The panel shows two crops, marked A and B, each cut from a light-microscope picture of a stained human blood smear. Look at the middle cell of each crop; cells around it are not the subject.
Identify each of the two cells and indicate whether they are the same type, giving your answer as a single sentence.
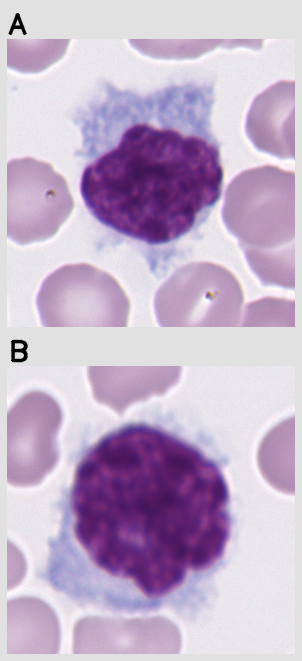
Yes, shown in both crops are hairy cells.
